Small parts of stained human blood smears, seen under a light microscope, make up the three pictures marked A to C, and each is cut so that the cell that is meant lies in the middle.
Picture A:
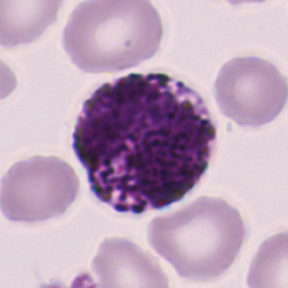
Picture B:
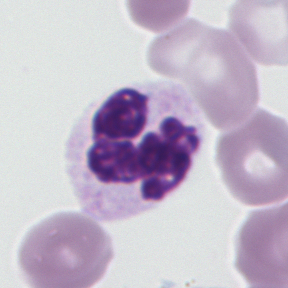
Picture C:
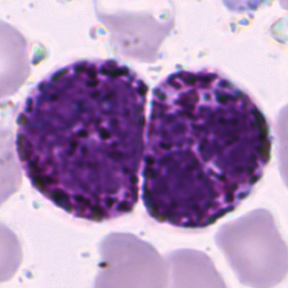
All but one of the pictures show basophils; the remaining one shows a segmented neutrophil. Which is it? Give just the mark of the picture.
B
